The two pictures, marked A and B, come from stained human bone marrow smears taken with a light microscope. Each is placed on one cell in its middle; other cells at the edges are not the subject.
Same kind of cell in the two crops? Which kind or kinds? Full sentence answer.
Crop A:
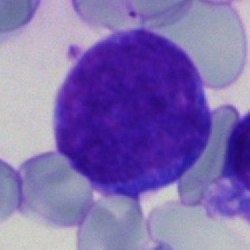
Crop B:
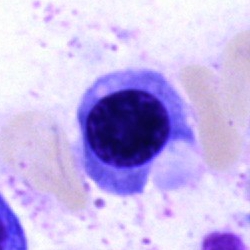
No, as for crop A, it shows a blast, and crop B shows an erythroblast.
